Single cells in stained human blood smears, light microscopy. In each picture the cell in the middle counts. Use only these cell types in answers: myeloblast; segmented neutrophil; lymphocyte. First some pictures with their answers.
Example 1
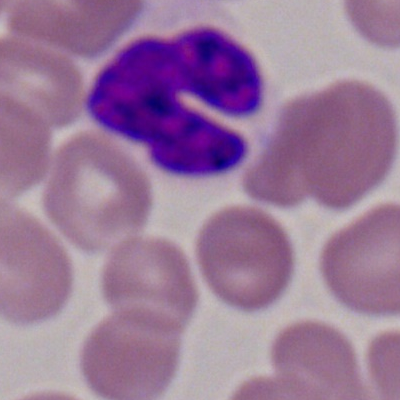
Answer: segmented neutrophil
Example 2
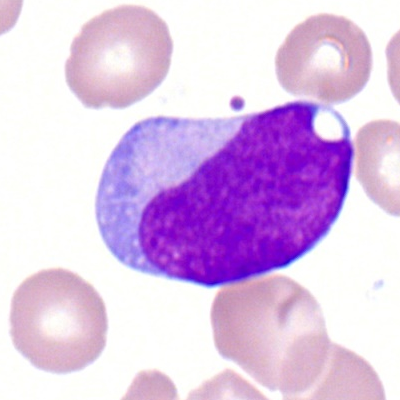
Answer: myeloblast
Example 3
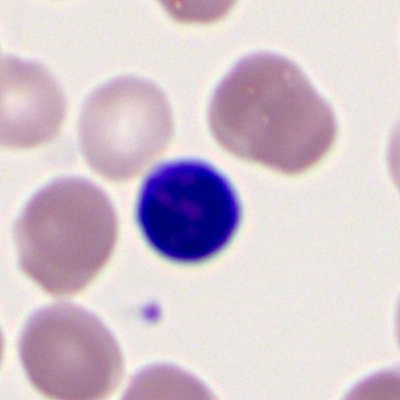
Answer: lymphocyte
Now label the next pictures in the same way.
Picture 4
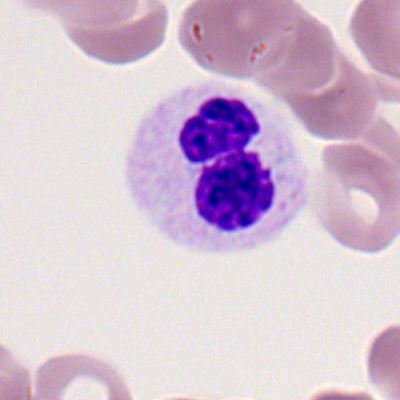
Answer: segmented neutrophil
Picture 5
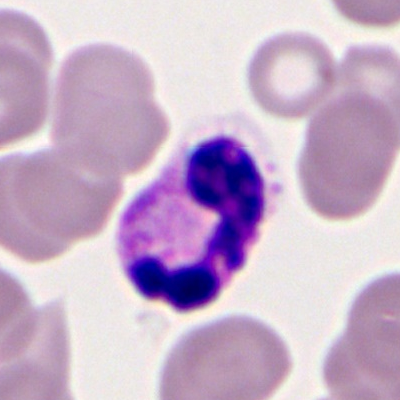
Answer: segmented neutrophil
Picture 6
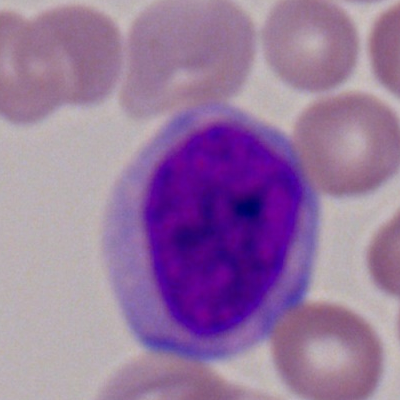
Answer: myeloblast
